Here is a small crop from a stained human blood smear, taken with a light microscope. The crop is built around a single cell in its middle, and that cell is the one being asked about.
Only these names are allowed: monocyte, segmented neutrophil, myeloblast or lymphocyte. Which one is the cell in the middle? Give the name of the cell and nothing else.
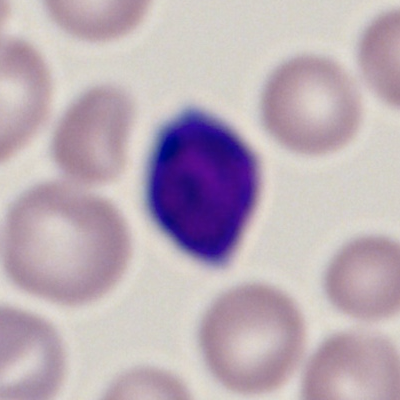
lymphocyte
